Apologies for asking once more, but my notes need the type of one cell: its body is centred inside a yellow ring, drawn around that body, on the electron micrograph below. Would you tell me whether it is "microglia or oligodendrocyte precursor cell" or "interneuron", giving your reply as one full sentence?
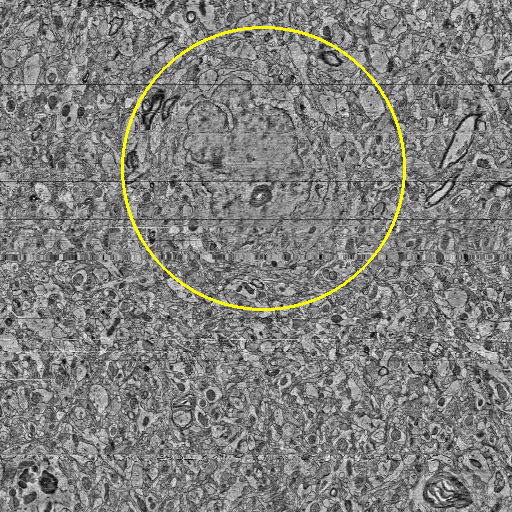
The cell that the yellow ring is centred on is an interneuron in this micrograph.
